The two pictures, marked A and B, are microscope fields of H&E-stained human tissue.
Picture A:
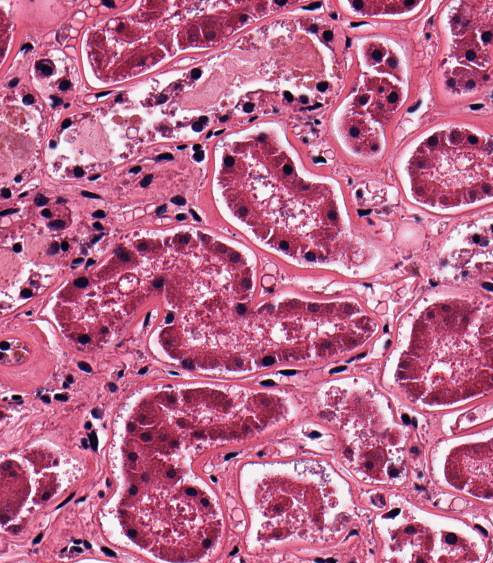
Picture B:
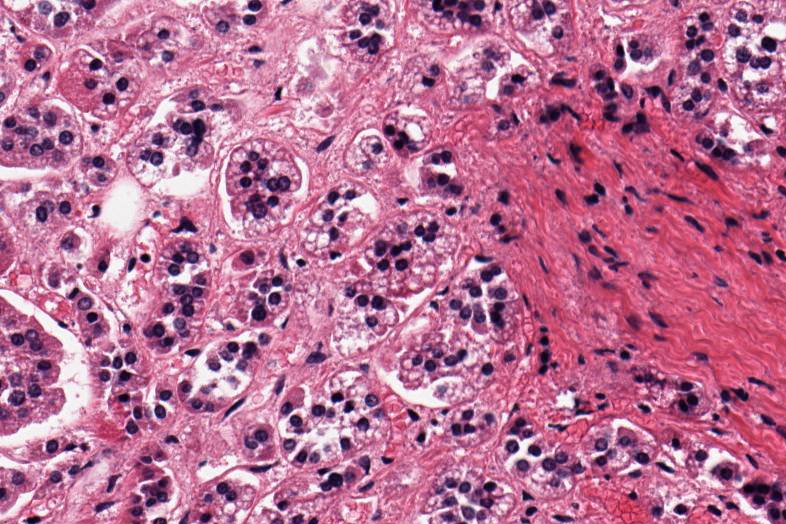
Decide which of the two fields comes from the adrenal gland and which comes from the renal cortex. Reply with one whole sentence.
Picture A comes from the renal cortex; picture B comes from the adrenal gland.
